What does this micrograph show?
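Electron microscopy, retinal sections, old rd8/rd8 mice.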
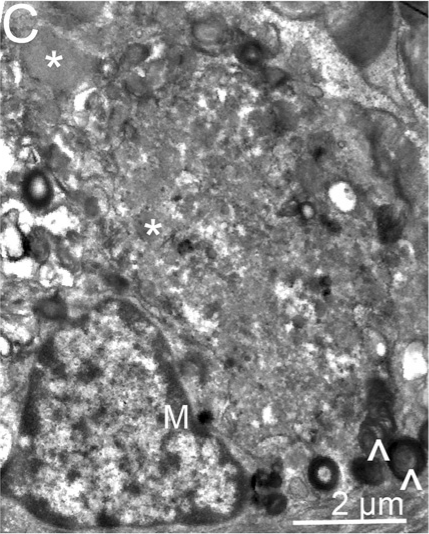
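At higher magnification, a cell with a large nucleus at lower left holds a broad cytoplasm full of granular material, small vacuoles and dense bodies. The nucleus has patchy, clumped chromatin. Near the lower right lie round electron-dense bodies, some with concentric rings, resembling engulfed membrane stacks of photoreceptor outer segments. Moderately dense granular regions in the cytoplasm fit lipofuscin. This is the cytoplasm of a phagocytic microglial cell or macrophage laden with debris.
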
